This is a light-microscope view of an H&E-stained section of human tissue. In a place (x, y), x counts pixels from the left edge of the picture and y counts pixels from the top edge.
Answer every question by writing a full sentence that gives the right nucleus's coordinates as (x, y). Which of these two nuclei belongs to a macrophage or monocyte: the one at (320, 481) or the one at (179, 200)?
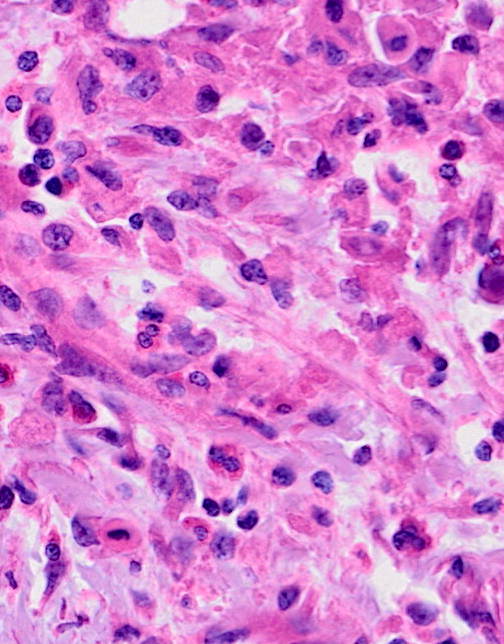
So, of the two, the nucleus at (179, 200) is the one belonging to a macrophage or monocyte.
